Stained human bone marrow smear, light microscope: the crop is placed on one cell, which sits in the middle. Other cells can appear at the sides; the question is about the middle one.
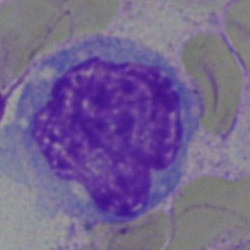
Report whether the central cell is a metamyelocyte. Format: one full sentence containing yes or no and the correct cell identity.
No, the cell at the centre of the crop corresponds to a monocyte, not a metamyelocyte.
